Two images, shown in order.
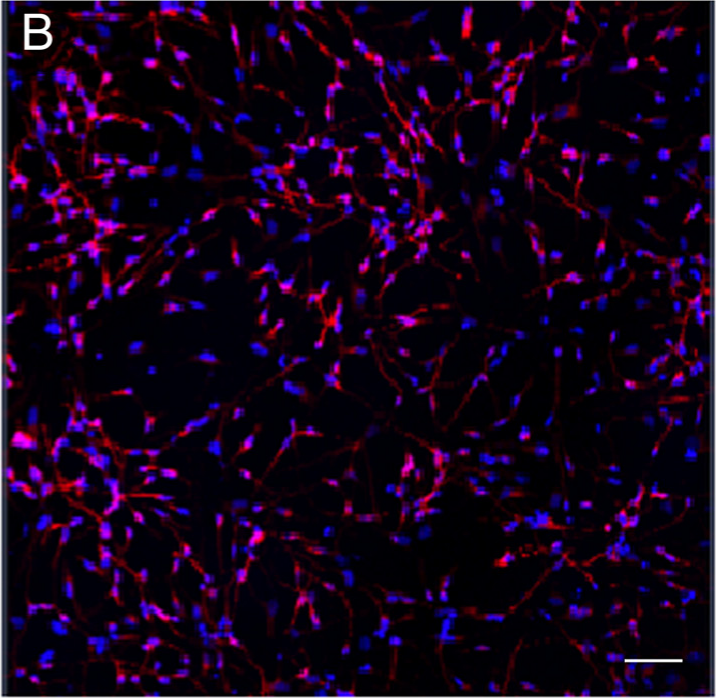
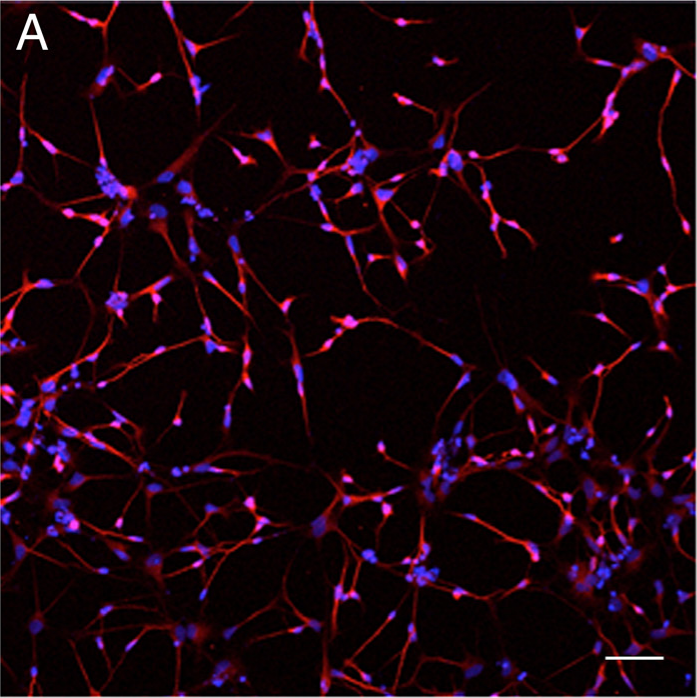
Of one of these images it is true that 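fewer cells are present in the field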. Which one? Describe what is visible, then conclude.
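Second image: blue nuclei are sparser, with large dark empty areas between cells. On this evidence: the second image.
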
